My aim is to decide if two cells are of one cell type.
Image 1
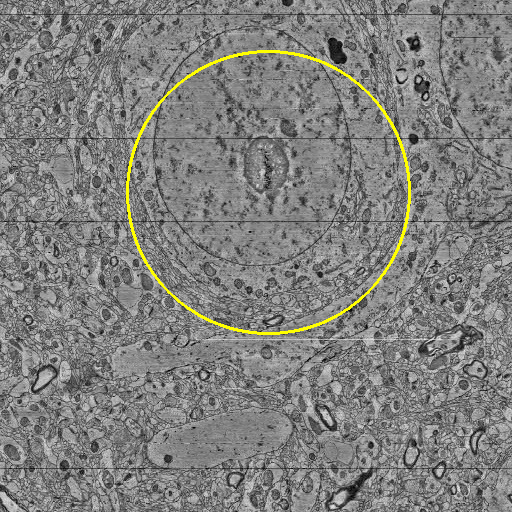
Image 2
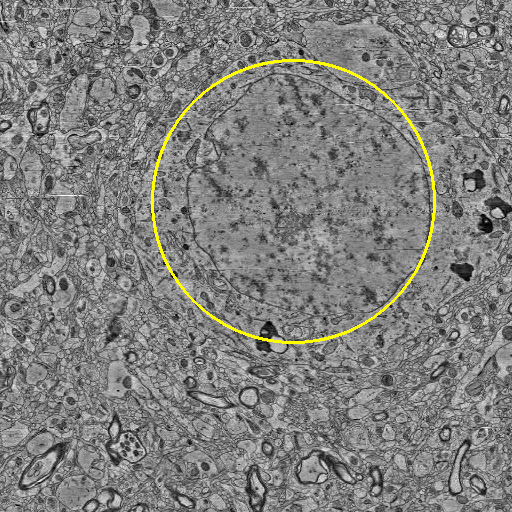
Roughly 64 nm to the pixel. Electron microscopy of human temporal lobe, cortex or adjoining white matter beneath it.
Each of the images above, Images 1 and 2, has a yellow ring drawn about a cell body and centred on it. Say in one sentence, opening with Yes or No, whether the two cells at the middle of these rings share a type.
Yes, in Images 1 and 2 the cells at the middle of the rings share one type.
